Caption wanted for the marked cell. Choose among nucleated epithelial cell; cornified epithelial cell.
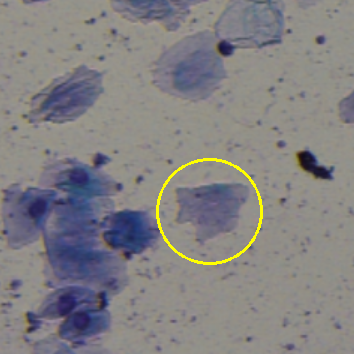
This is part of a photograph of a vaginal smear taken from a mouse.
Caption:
Ringed in yellow is a cornified epithelial cell.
